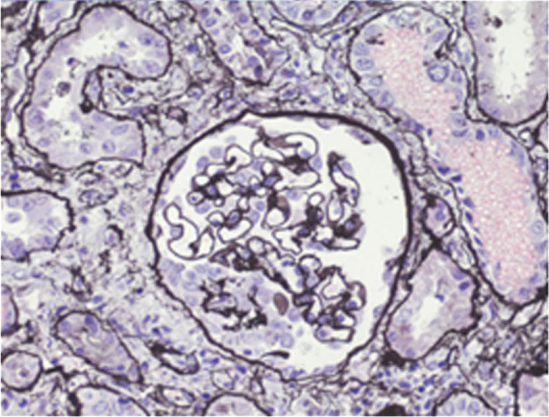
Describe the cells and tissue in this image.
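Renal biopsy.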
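The capsule is a thick black ring enclosing a wide clear space around the tuft, and the loops appear open with dark deposits of matrix between them. At upper right a tubule is filled with closely packed small pink round bodies, while the surrounding tubules are lined by pale epithelial cells with blue nuclei.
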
